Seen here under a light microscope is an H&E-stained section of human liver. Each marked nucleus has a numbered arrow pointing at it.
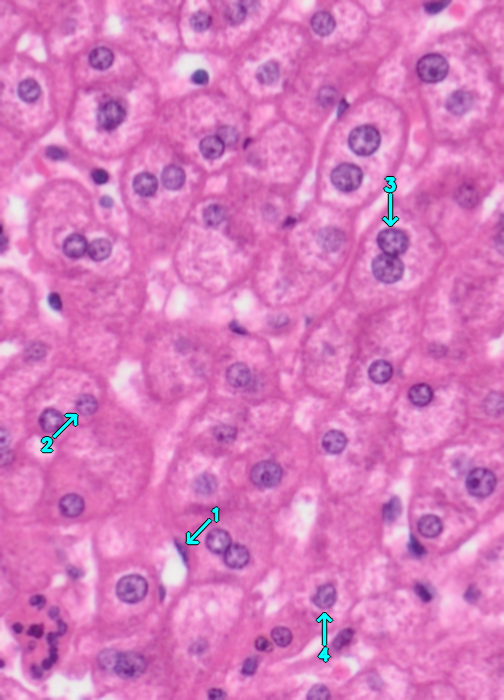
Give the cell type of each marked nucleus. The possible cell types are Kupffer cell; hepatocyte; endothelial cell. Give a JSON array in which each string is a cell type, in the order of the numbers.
["endothelial cell", "hepatocyte", "hepatocyte", "hepatocyte"]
